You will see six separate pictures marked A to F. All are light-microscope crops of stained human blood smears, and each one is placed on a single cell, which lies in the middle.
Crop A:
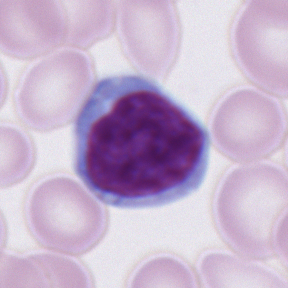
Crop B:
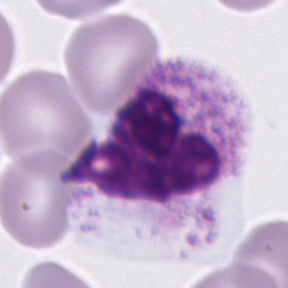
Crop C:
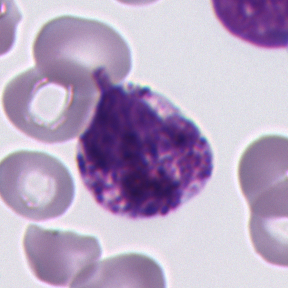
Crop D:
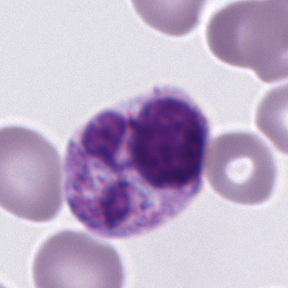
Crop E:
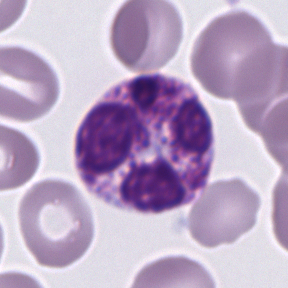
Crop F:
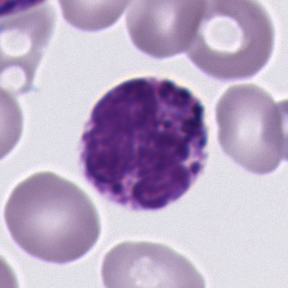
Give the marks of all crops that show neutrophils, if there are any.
B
